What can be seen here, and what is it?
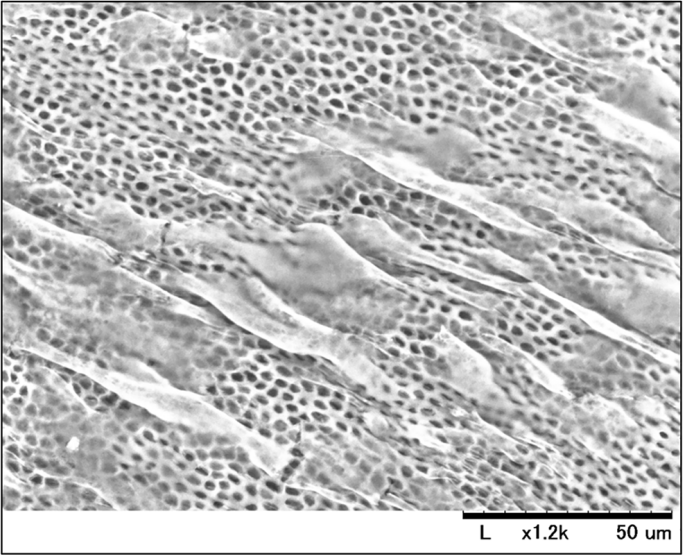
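This scanning electron micrograph shows a dentin matrix surface perforated by numerous dentinal tubes, seen as small round to oval dark openings of fairly uniform size. The openings are densely packed and fill most of the field. Elongated, smooth, flattened bands run diagonally across the field and lie over the perforated surface.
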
